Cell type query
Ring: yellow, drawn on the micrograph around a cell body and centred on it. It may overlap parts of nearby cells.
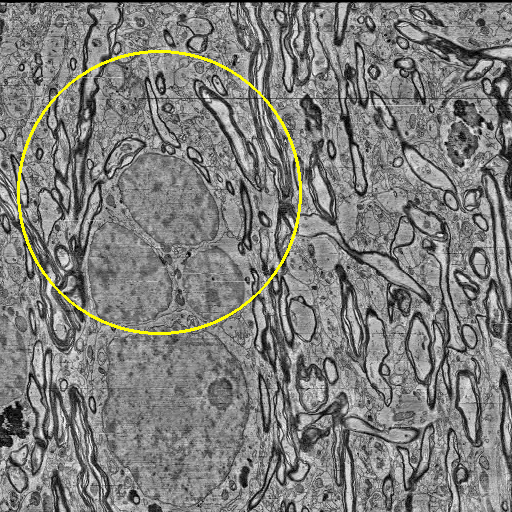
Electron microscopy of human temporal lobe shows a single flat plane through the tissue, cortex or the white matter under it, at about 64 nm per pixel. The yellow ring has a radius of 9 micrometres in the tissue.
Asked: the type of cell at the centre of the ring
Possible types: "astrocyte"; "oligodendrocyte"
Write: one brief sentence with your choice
The ring marks an oligodendrocyte.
